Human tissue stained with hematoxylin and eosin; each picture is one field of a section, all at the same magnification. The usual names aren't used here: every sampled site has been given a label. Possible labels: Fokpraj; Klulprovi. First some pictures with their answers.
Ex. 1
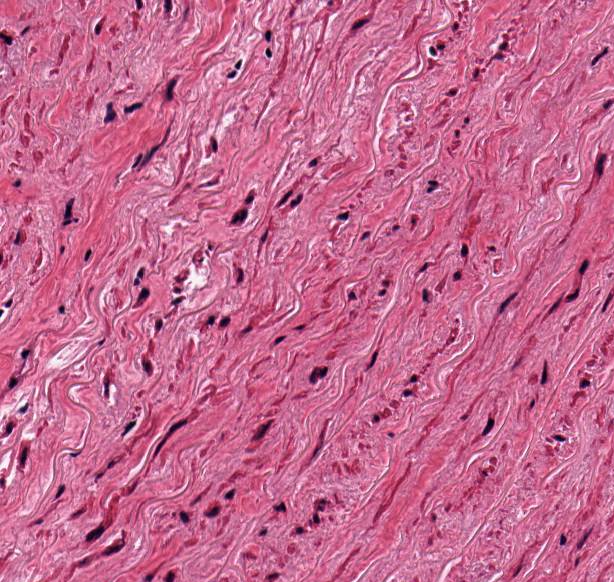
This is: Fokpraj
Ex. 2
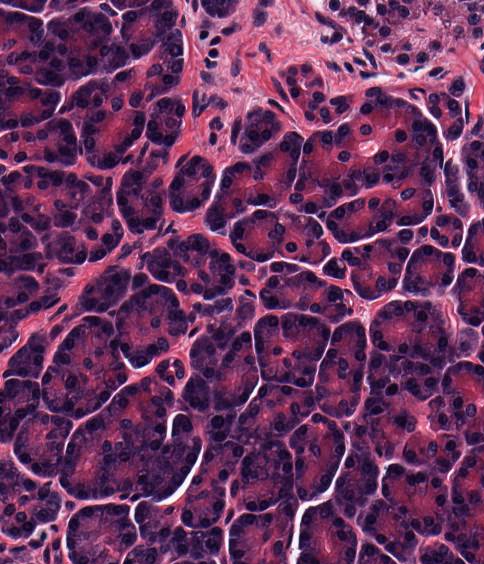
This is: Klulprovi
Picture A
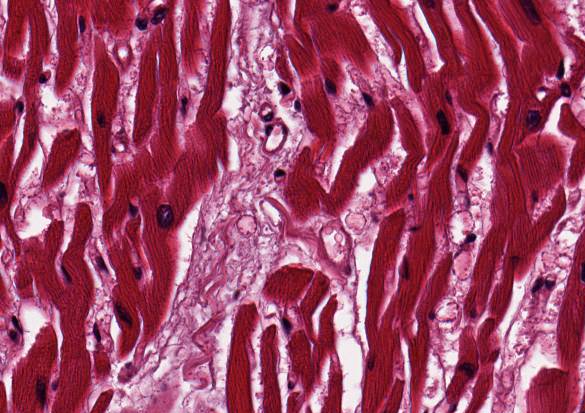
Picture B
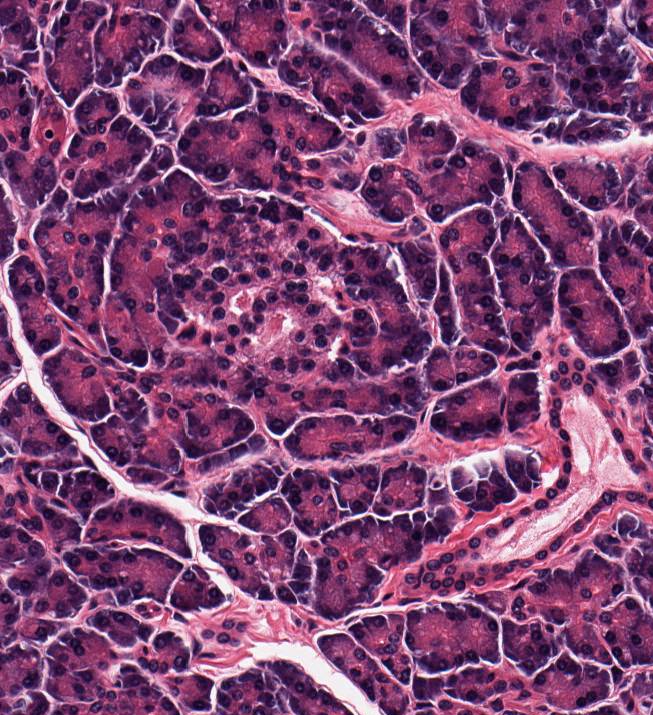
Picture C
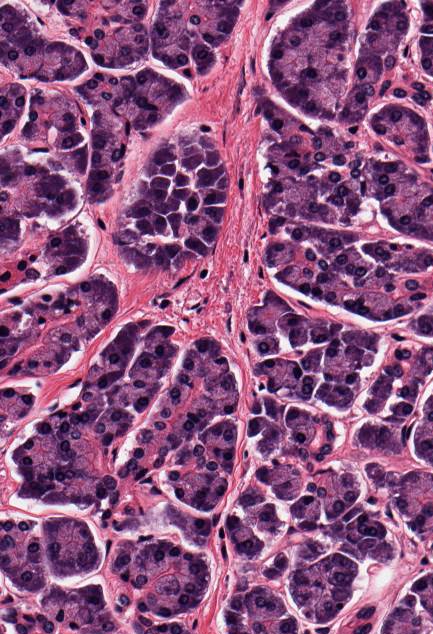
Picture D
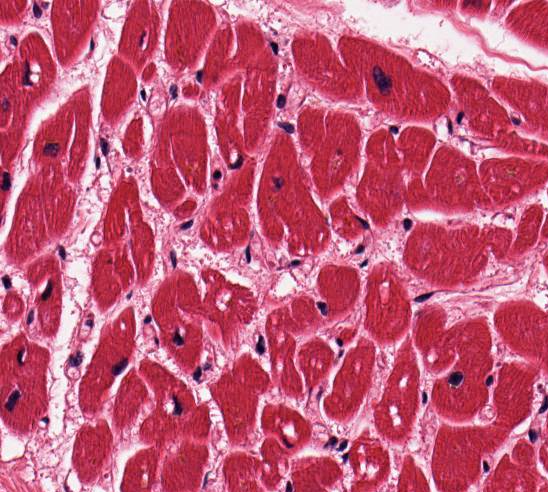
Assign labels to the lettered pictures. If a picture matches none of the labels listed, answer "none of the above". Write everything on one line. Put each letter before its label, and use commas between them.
A none of the above, B Klulprovi, C Klulprovi, D none of the above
